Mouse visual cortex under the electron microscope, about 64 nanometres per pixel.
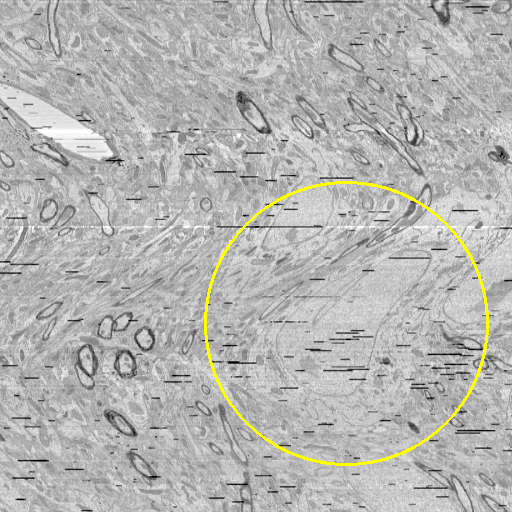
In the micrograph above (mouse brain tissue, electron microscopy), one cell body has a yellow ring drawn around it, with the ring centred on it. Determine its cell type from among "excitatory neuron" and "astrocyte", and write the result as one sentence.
The cell whose body is ringed is an excitatory neuron.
